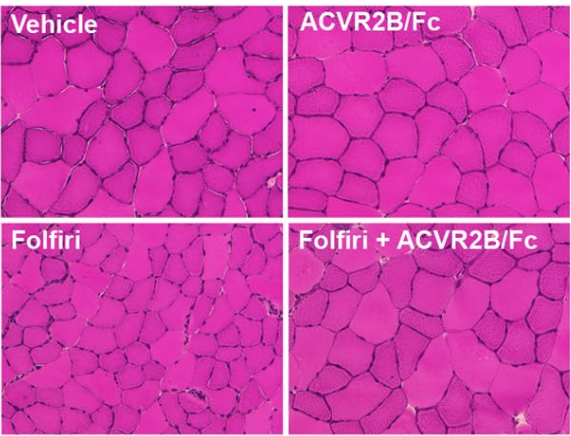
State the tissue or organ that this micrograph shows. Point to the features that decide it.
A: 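Closely packed polygonal fibers with pink cytoplasm in cross-section. Small dark nuclei sit at the edges of the fibers. Thin lines of connective tissue separate the fibers.
Hence: muscle.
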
